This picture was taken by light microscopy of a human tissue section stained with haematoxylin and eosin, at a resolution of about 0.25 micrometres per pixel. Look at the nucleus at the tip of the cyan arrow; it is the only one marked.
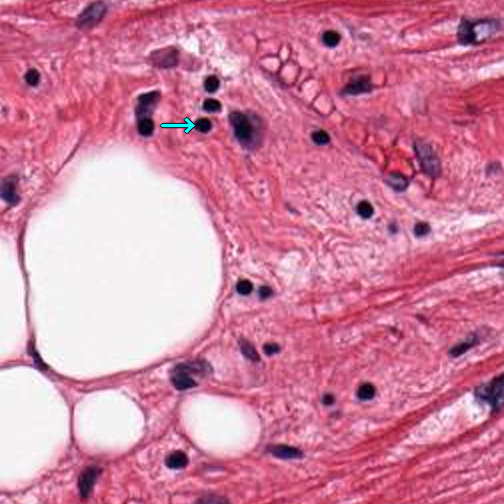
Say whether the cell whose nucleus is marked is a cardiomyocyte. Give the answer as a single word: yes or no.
no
